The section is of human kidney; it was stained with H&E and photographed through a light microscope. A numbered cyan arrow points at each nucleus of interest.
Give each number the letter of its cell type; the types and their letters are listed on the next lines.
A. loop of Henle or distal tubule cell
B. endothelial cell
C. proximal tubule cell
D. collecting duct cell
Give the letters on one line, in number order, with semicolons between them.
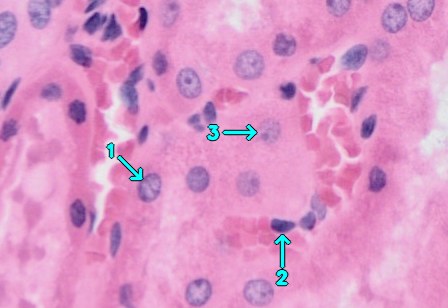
C; B; C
